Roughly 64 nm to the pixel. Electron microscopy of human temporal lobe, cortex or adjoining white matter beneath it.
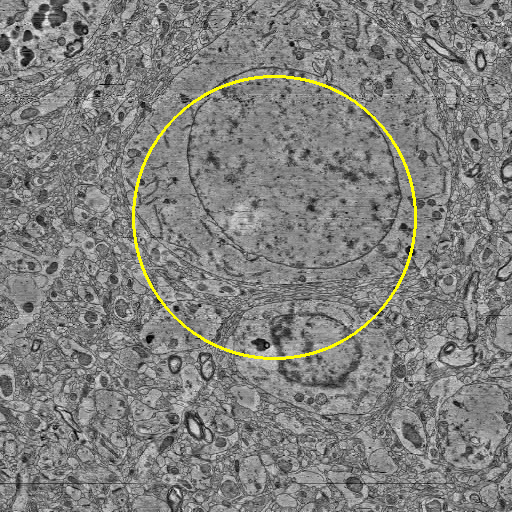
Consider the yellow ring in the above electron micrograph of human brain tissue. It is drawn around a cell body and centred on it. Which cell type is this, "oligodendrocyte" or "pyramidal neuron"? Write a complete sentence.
The cell in question is a pyramidal neuron.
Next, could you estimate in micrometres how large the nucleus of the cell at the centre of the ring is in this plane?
The nucleus has a long axis of about 15 micrometres and a short axis of about 13 micrometres in this plane.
